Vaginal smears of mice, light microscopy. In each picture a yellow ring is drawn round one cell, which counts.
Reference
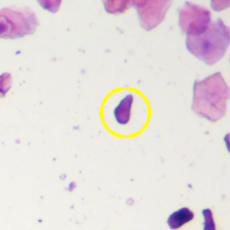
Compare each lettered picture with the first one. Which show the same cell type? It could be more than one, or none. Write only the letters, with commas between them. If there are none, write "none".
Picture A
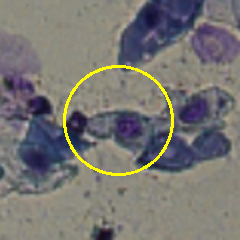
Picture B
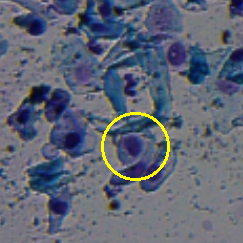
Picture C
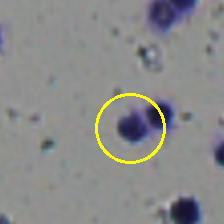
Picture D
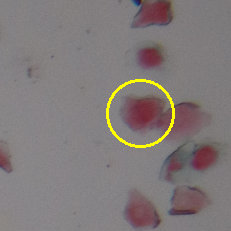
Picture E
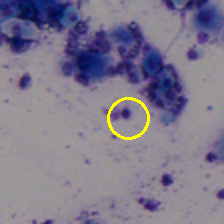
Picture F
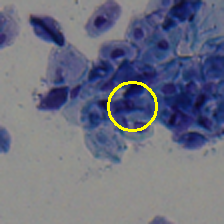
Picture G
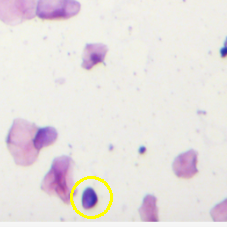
A, B, D, F, G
